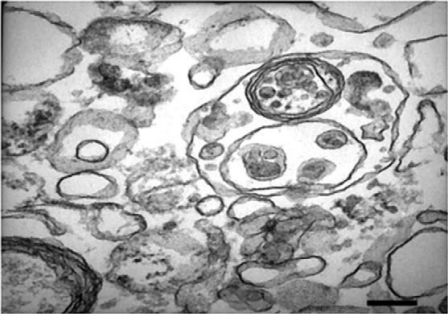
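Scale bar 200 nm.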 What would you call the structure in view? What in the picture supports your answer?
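A large membrane-bound compartment at the centre encloses several smaller vesicles. So: multivesicular body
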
